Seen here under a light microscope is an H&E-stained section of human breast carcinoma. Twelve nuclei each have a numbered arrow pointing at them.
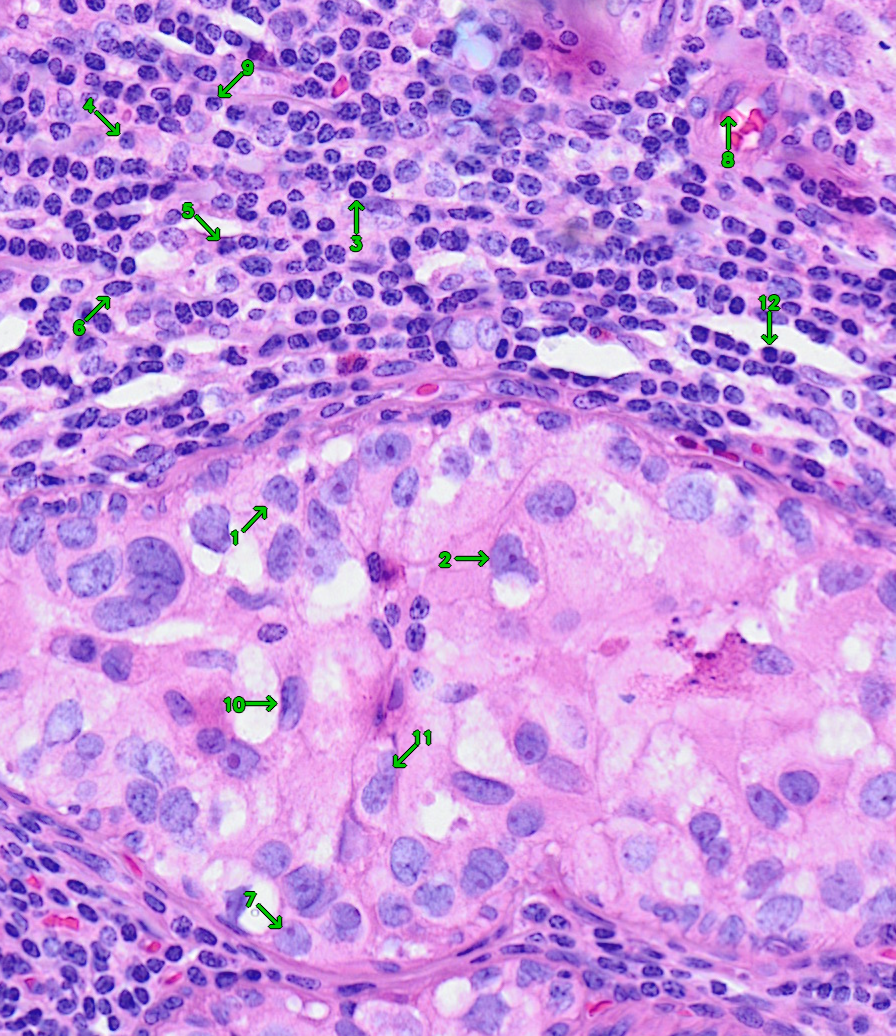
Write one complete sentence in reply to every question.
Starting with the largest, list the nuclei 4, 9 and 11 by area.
By area, largest first, they run 11, 4, 9.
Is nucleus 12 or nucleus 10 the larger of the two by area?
Nucleus 10 is the larger one, covering about 4 times the area of nucleus 12.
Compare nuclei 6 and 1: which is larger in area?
Nucleus 1 is the larger one, covering about 3 times the area of nucleus 6.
